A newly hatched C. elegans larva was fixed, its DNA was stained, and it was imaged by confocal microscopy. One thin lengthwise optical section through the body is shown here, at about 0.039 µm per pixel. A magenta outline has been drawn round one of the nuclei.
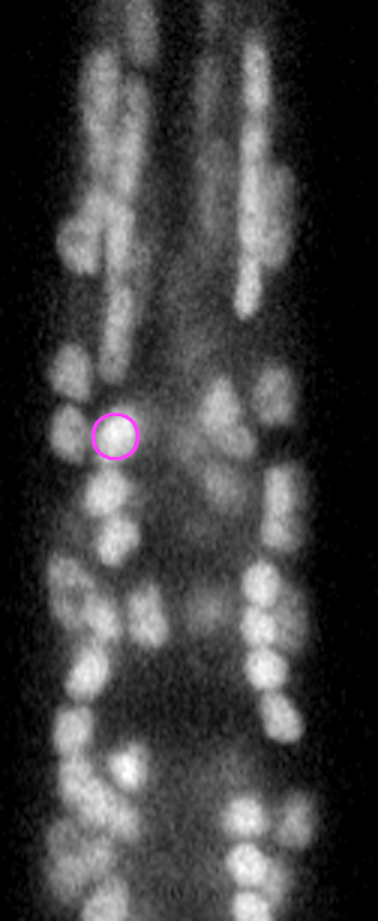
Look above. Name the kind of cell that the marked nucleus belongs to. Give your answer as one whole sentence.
It is the nucleus of a pharyngeal muscle cell.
